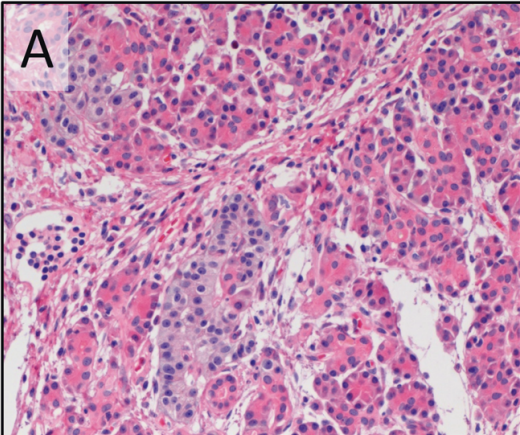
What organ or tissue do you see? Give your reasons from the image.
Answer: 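Pancreas. Cells with pink granular cytoplasm are grouped in small round acini. Nuclei are round, purple and lie toward the base of the cells. Bands of pale fibrous stroma separate lobules of these acini.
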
